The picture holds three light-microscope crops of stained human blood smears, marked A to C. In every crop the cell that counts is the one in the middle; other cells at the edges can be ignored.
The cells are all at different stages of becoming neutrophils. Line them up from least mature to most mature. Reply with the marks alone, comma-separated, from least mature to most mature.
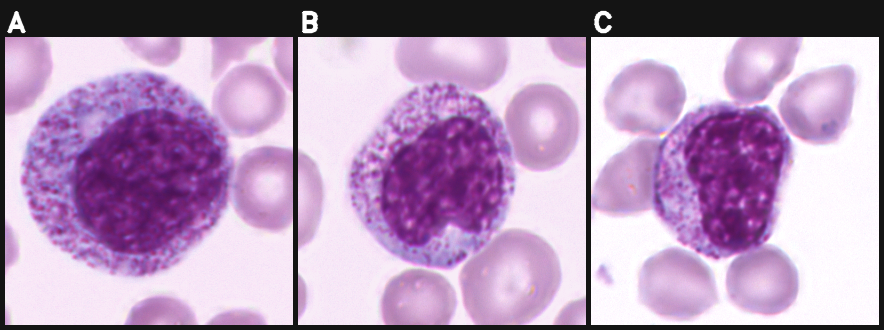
A, B, C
